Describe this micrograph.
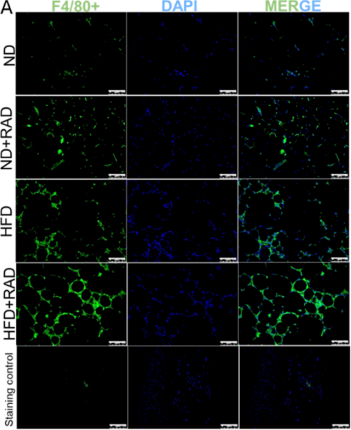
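This is a block of fluorescence images of fat tissue, with each row shown as green, blue and merged views. In some rows, green signal forms thin rings around large, round, empty-looking spaces. These spaces are the fat cells, and the rings follow their borders, giving a honeycomb look. In other rows the green is sparse and appears as small scattered dots. The bottom row shows almost no green at all, only the scattered blue nuclei.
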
